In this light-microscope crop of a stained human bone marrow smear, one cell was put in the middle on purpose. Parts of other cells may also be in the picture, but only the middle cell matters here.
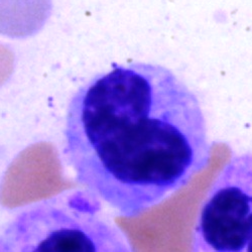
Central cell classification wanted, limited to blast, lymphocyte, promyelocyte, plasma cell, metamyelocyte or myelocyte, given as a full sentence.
Framed in the middle of the crop is a metamyelocyte.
